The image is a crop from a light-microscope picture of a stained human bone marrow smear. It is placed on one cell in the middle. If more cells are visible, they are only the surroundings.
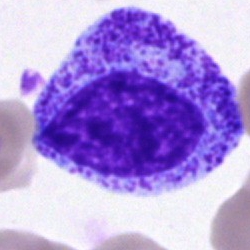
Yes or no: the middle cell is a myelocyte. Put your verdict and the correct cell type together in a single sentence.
Yes, centred in the crop is a myelocyte.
